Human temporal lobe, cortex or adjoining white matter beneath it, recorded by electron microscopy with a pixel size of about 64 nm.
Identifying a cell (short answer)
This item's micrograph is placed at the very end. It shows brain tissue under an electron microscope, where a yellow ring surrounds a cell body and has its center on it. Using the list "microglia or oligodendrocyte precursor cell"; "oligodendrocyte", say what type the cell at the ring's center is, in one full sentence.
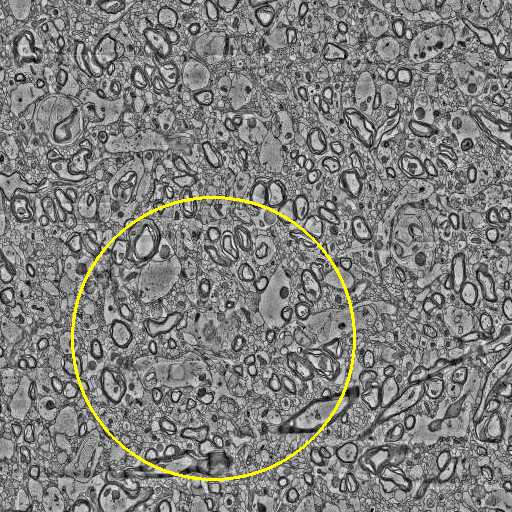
This picture shows an oligodendrocyte at the center of the yellow ring drawn on it.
